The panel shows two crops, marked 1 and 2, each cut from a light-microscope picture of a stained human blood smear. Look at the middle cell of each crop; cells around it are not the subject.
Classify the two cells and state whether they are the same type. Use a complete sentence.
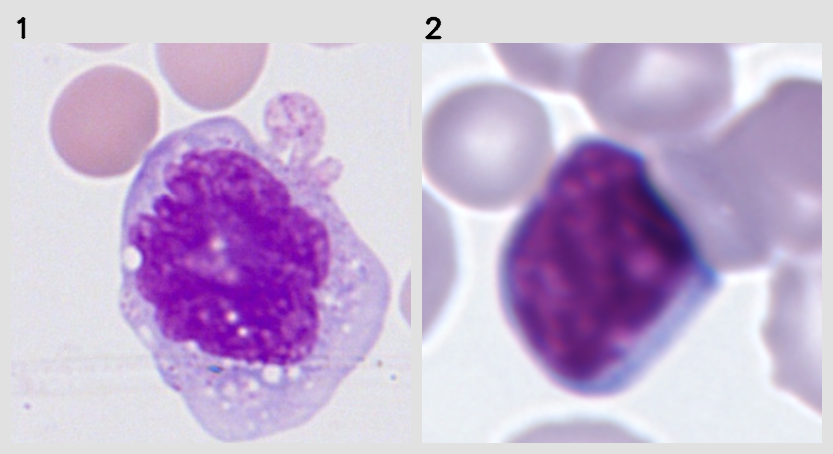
No, crop 1 shows a monocyte, whereas a lymphocyte is what crop 2 shows.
